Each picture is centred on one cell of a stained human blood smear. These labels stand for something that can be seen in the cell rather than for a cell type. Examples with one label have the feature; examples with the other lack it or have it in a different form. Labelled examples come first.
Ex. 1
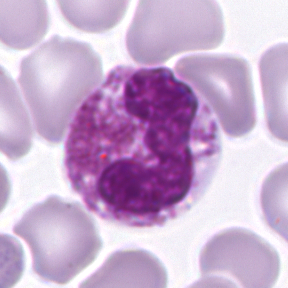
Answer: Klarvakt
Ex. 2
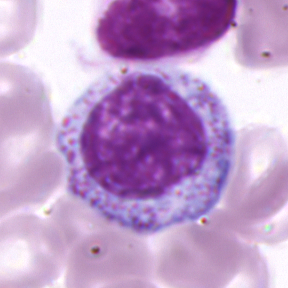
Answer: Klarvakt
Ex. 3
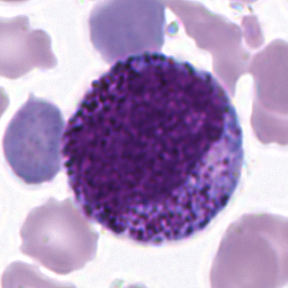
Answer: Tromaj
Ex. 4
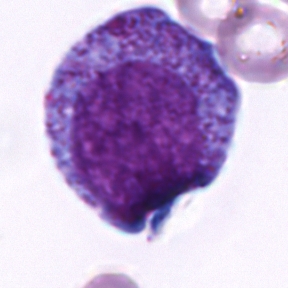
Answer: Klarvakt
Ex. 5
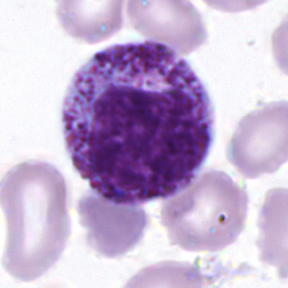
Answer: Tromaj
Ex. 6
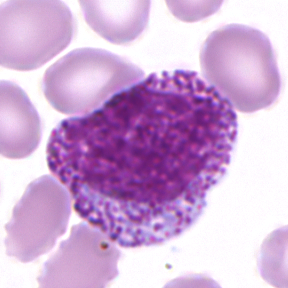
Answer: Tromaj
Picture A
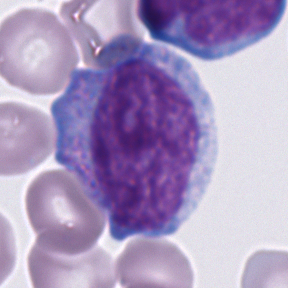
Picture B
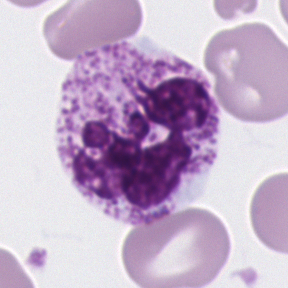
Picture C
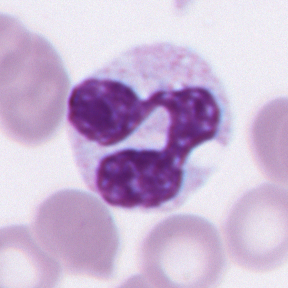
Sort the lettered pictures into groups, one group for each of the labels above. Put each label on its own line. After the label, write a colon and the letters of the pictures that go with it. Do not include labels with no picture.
Klarvakt: A, C
Tromaj: B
